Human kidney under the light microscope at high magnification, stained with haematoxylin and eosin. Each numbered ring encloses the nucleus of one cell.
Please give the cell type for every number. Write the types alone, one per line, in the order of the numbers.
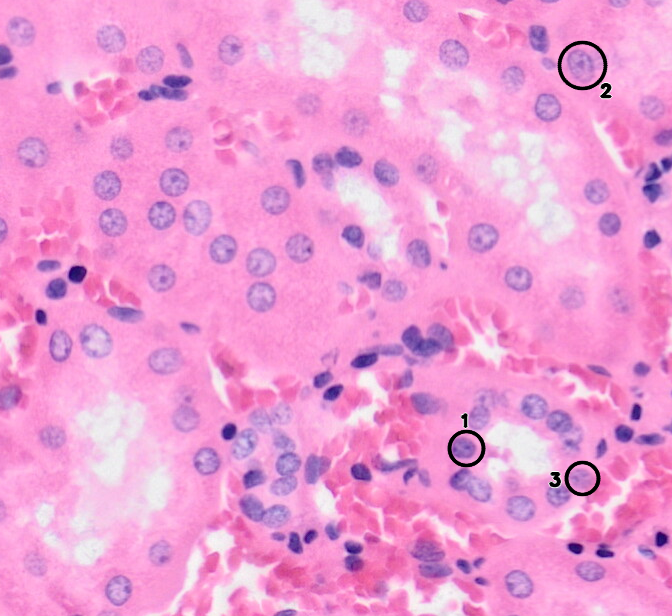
collecting duct cell
proximal tubule cell
collecting duct cell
